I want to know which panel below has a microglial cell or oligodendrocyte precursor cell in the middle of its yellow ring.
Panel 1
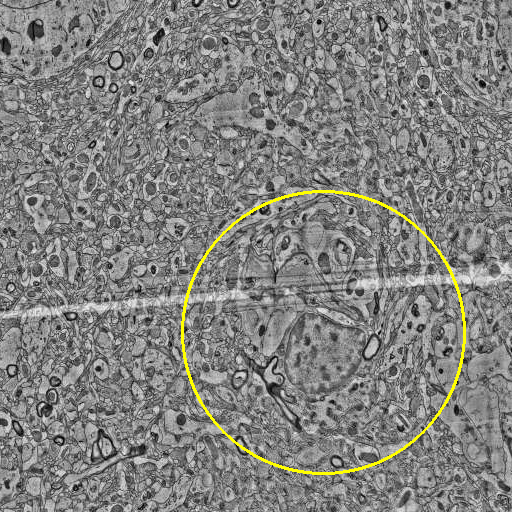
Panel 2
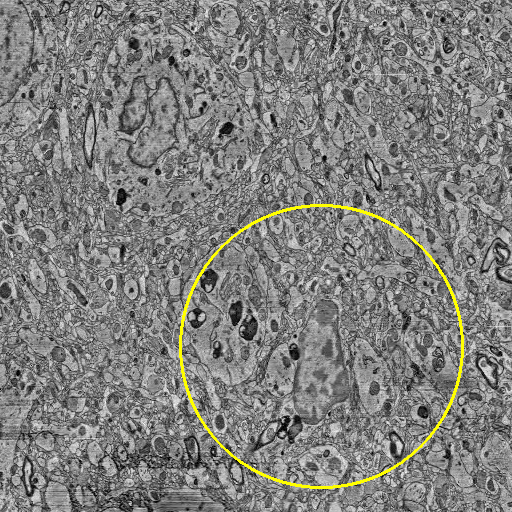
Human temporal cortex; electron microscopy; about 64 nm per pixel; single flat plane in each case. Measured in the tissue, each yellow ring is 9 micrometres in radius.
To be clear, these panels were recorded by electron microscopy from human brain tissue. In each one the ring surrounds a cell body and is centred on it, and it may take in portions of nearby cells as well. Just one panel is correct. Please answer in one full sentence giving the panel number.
Panel 2 has the requested cell sitting at the centre of its ring.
